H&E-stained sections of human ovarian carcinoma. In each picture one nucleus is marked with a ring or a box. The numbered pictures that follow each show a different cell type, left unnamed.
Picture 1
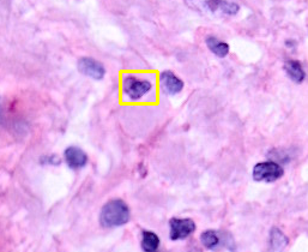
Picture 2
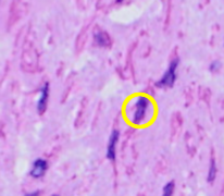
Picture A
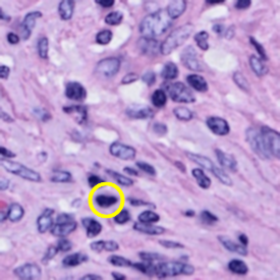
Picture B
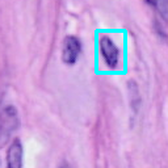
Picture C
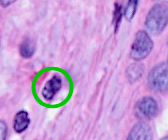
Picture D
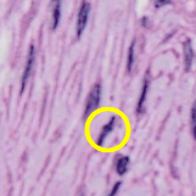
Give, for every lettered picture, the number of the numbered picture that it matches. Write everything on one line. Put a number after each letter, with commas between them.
A 1, B 1, C 1, D 2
